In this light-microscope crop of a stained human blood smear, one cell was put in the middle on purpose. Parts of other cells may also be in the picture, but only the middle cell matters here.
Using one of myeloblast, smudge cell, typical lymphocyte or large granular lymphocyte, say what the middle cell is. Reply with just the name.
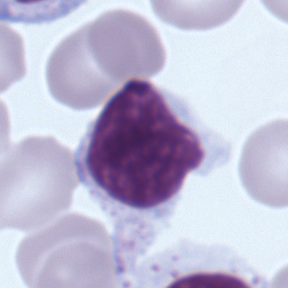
large granular lymphocyte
